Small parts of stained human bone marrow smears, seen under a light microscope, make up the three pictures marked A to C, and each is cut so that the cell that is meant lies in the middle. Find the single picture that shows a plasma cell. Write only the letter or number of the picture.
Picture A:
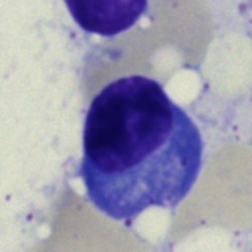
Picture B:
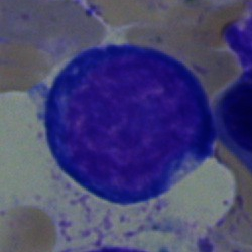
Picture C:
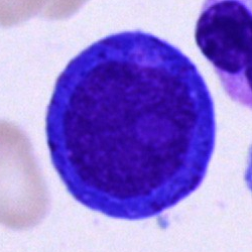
A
